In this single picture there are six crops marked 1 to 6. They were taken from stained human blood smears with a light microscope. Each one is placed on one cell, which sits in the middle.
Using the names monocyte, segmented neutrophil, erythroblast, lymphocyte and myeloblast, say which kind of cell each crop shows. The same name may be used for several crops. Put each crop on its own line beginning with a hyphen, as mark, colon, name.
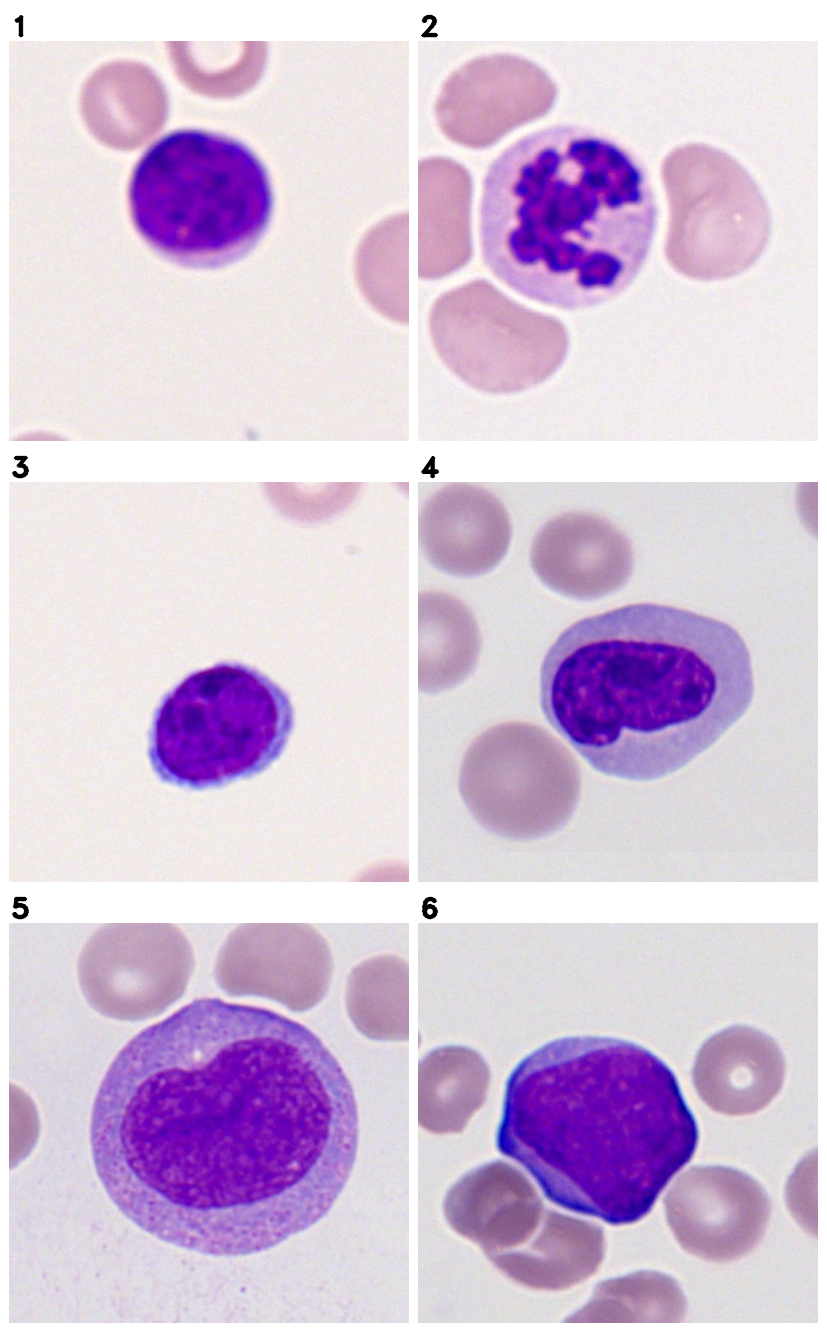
- 1: lymphocyte
- 2: segmented neutrophil
- 3: lymphocyte
- 4: erythroblast
- 5: myeloblast
- 6: myeloblast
